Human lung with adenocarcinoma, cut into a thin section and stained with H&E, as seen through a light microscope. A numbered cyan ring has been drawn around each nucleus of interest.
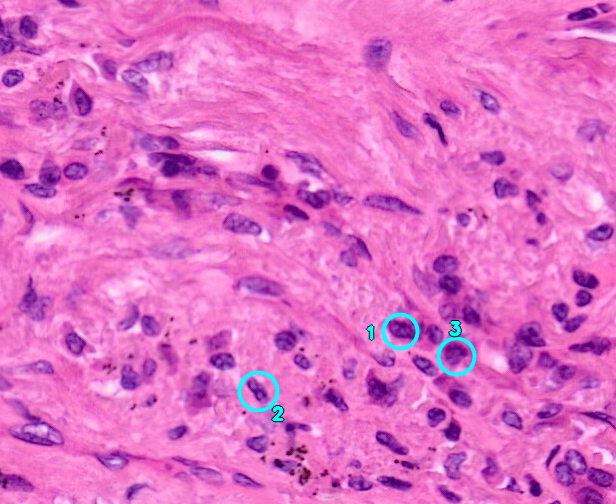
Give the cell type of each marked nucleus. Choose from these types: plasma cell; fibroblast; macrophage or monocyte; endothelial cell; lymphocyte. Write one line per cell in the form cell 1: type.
cell 1: plasma cell
cell 2: lymphocyte
cell 3: plasma cell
